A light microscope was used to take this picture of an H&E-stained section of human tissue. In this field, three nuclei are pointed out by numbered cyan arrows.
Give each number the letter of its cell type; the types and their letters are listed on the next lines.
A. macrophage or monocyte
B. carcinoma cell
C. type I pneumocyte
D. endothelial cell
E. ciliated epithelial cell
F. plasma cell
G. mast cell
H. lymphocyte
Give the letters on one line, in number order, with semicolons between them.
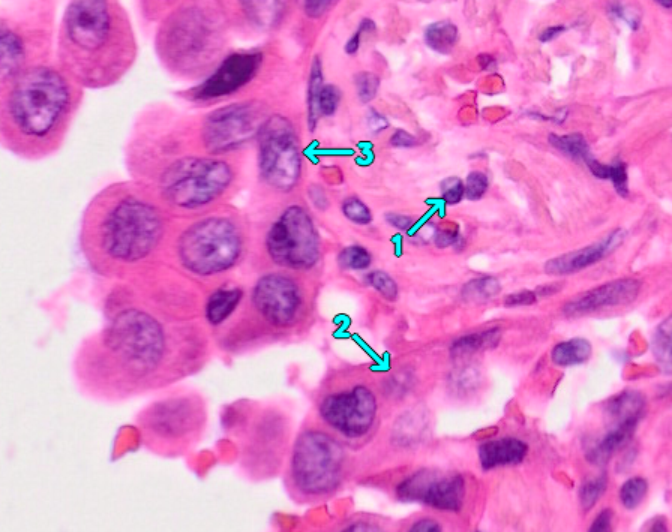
H; B; B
